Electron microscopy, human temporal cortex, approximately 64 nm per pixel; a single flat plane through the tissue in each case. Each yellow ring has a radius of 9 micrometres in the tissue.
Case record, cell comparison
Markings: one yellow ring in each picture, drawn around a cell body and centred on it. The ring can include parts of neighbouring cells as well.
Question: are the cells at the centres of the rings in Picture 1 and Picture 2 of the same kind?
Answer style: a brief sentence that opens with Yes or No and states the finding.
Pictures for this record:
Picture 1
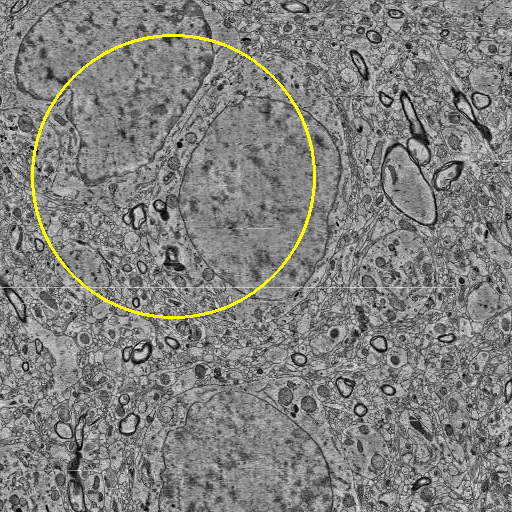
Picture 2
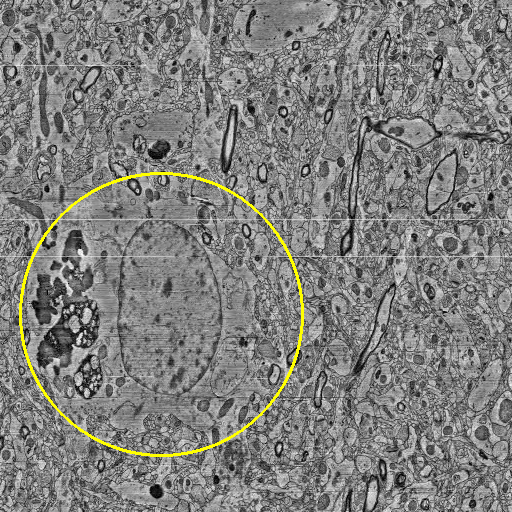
No, the cells in Picture 1 and Picture 2 are of two kinds.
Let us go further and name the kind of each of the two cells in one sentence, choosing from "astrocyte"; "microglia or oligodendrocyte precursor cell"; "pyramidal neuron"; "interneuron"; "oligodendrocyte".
The ring of the first picture is on a pyramidal neuron, the ring of the second on an astrocyte.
